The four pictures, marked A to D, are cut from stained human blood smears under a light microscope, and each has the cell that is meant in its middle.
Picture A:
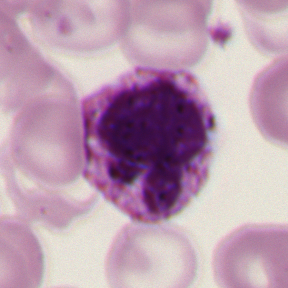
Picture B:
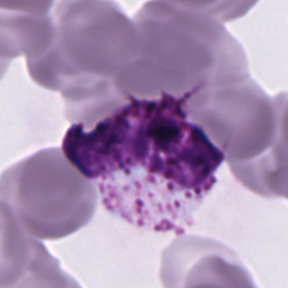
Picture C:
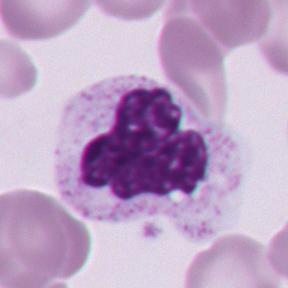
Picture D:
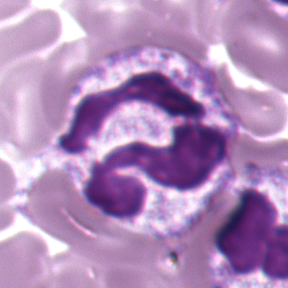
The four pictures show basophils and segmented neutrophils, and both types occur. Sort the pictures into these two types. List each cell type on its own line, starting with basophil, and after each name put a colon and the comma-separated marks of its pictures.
basophil: A, B
segmented neutrophil: C, D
